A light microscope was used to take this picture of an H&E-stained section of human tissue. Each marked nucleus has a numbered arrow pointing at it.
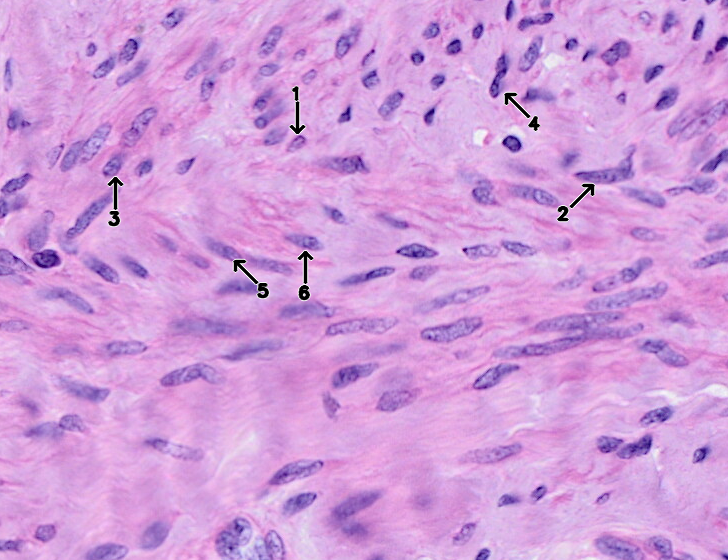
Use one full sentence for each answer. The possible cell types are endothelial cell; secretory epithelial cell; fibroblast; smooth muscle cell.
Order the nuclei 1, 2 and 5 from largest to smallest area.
By area, largest first, they run 2, 5, 1.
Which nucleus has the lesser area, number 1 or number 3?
It is nucleus 1; nucleus 3 has about 2.5 times its area.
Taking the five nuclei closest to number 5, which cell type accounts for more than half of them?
Smooth muscle cells account for more than half of the five nuclei nearest to number 5.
